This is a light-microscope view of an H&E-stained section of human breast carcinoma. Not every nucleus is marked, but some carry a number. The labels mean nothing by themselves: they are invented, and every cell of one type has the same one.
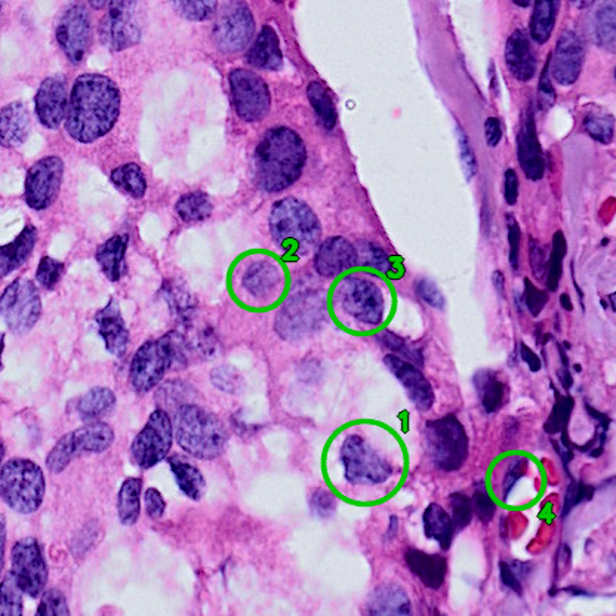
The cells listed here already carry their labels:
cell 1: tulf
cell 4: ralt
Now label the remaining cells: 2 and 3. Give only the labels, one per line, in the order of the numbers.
tulf
tulf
